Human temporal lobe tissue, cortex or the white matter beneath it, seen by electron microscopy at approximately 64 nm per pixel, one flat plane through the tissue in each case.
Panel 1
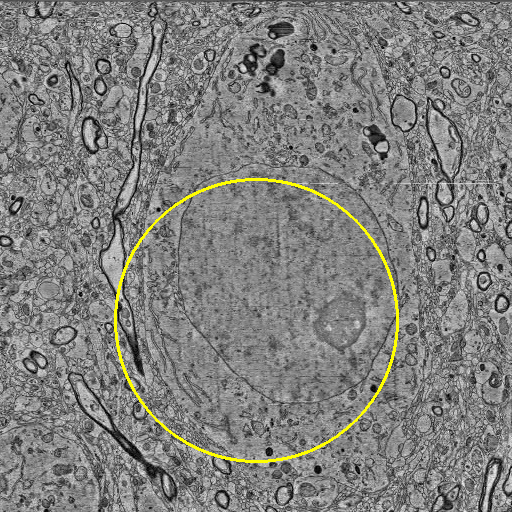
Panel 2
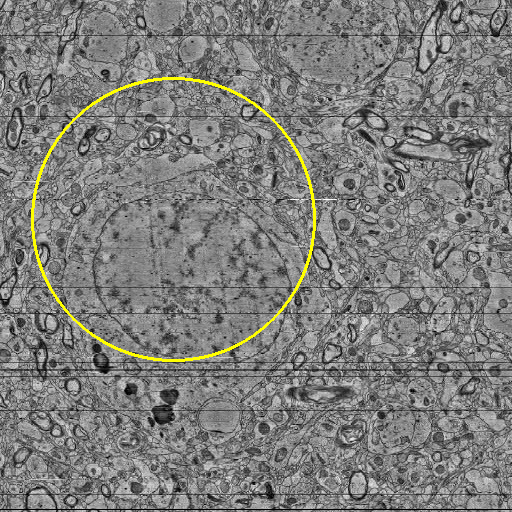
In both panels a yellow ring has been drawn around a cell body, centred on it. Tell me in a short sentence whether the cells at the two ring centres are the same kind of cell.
Yes, they are the same kind of cell.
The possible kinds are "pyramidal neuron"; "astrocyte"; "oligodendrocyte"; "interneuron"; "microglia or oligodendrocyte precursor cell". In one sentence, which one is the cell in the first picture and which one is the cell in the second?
Both cells are the same kind, each one being a pyramidal neuron.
